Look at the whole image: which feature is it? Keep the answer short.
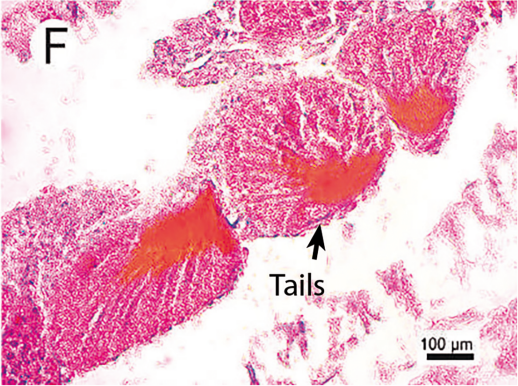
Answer: mature spermatic cysts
